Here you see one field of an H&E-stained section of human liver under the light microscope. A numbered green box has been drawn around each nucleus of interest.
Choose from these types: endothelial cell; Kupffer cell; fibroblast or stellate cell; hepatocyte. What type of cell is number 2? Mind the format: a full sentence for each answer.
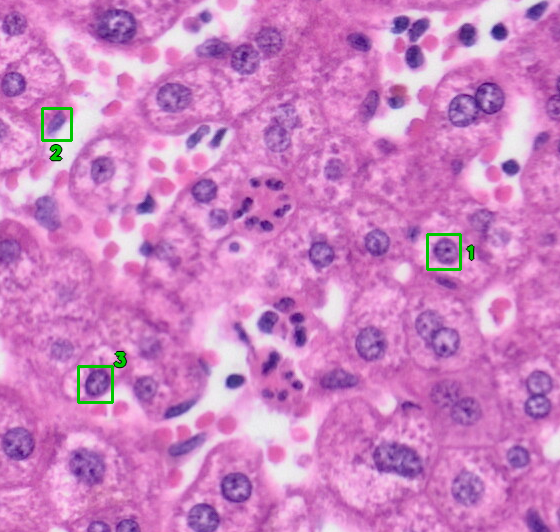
The nucleus labeled 2 belongs to an endothelial cell.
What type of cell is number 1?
Recognised here as a hepatocyte is the cell numbered 1.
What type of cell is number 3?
Among the marked cells, number 3 is a hepatocyte.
